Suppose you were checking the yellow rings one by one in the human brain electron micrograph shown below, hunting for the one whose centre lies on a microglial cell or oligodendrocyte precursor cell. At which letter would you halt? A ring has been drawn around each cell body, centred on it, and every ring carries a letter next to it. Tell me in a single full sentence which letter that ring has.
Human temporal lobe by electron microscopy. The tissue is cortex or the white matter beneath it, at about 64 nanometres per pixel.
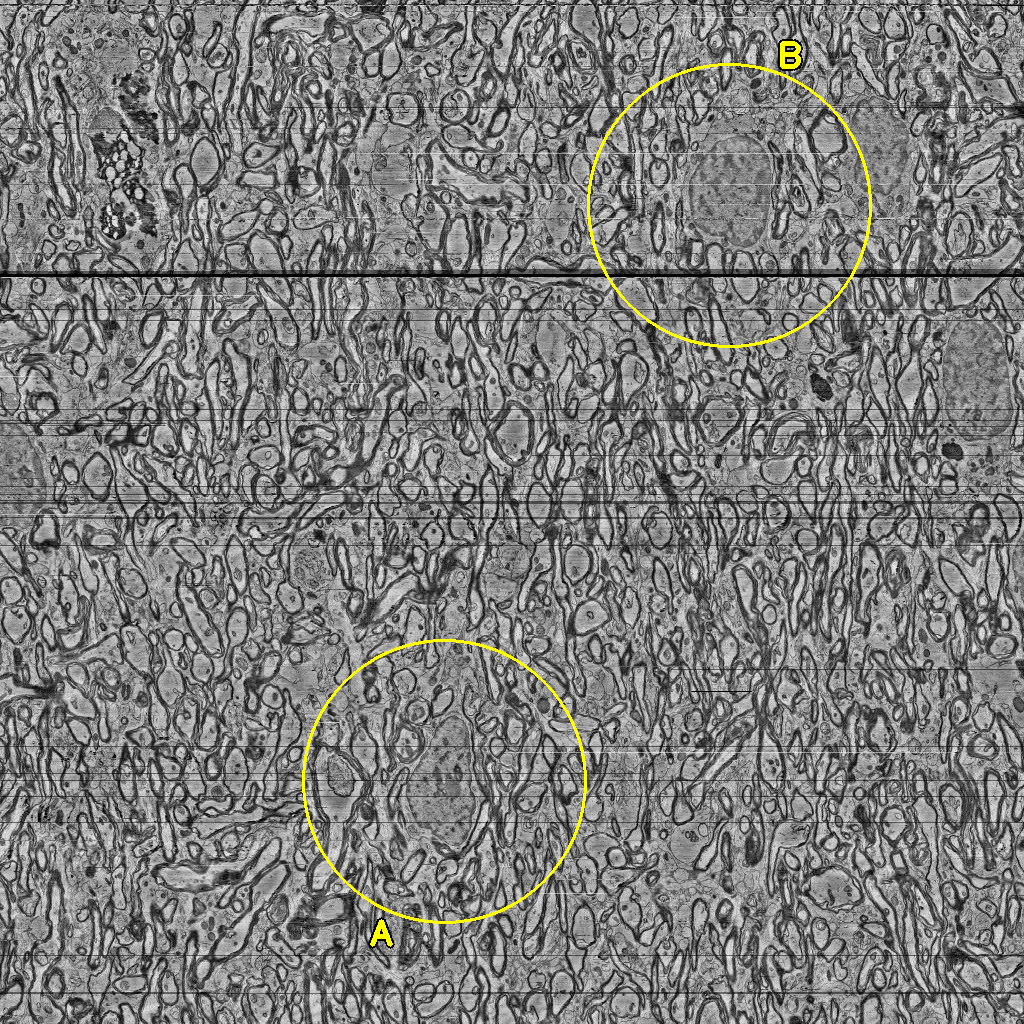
Going through the rings, I would stop at ring A, the one centred on the cell asked for.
